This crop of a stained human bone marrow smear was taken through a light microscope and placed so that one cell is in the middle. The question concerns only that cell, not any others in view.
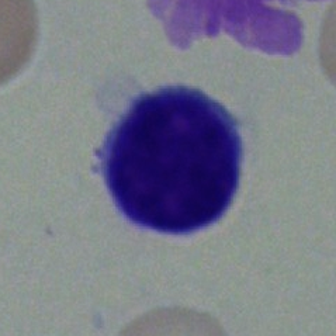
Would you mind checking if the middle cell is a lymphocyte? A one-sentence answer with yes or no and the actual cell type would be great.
Yes, a lymphocyte occupies the middle of the crop.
